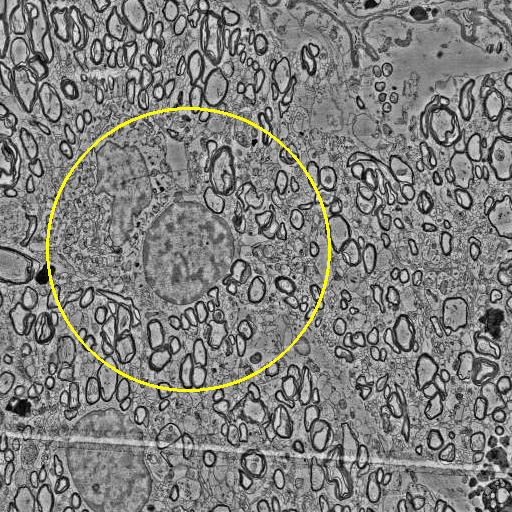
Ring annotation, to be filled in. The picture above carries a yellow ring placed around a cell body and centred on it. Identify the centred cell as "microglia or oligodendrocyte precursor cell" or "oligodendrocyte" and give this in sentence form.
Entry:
The cell in the middle of the ring is an oligodendrocyte.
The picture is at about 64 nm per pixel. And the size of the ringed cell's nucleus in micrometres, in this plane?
Roughly 6 micrometers across in this plane.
